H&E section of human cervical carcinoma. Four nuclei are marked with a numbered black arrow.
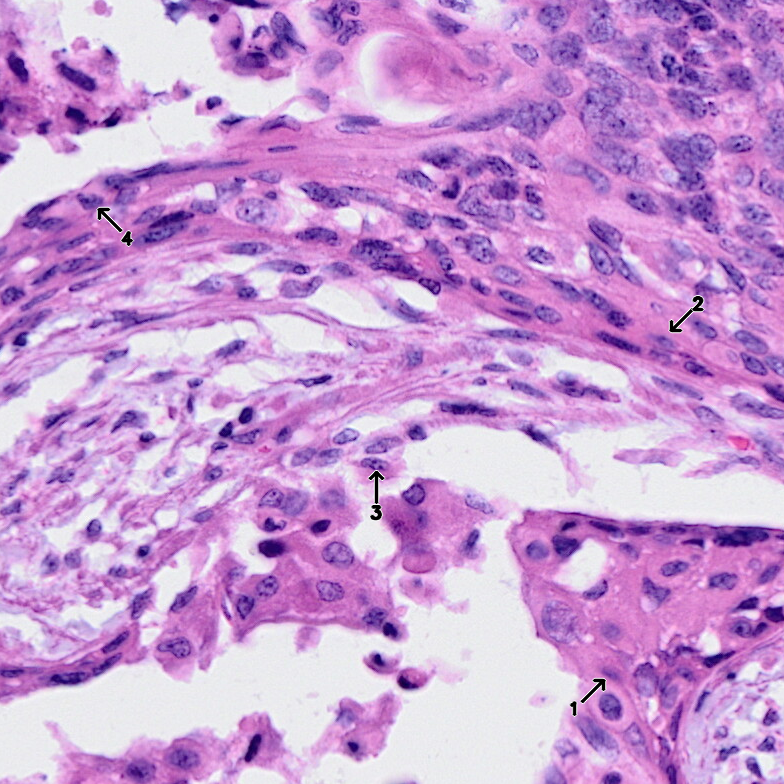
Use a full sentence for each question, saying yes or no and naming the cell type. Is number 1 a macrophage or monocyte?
No, that is wrong: cell 1 is a squamous carcinoma cell, and not a macrophage or monocyte.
